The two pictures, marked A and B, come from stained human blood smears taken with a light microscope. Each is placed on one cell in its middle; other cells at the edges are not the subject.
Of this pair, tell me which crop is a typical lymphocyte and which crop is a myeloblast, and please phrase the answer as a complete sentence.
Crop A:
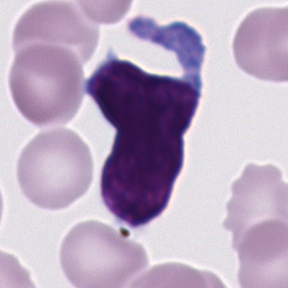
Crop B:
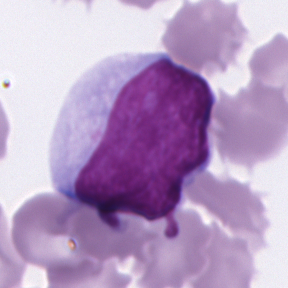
Crop A presents a typical lymphocyte, and crop B presents a myeloblast.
